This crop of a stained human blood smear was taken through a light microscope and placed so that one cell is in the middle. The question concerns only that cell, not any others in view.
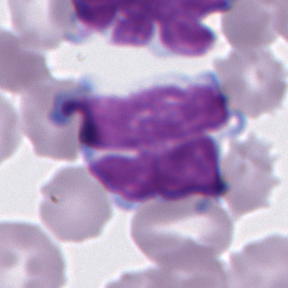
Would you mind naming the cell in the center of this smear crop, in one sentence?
Among the cells in view, the one in the middle is a typical lymphocyte.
